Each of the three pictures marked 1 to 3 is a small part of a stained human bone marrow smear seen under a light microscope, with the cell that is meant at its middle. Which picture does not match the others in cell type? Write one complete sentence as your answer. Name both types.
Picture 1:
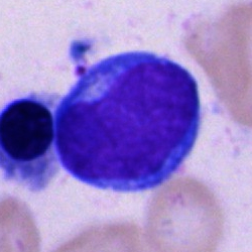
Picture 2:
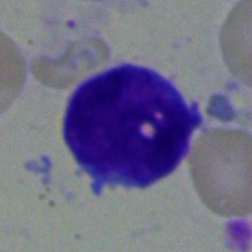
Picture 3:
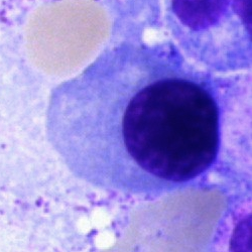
The different one is picture 3; it shows an erythroblast, whereas all the others show blasts.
